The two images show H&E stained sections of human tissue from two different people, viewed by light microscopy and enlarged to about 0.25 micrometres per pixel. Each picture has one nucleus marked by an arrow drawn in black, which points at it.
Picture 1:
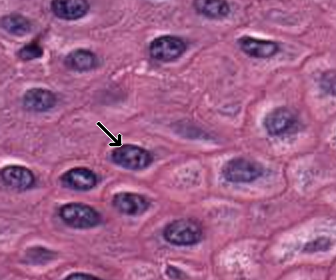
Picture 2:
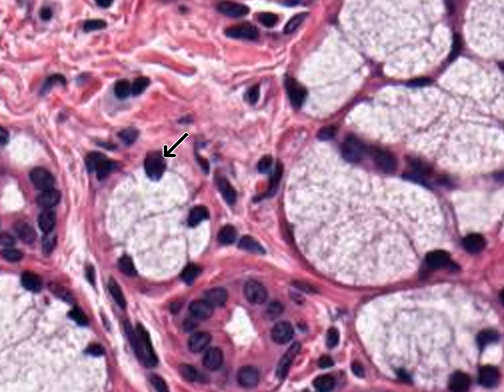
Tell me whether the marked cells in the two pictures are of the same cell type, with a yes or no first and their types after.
No, the first is a squamous epithelial cell and the second a mucous gland cell.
